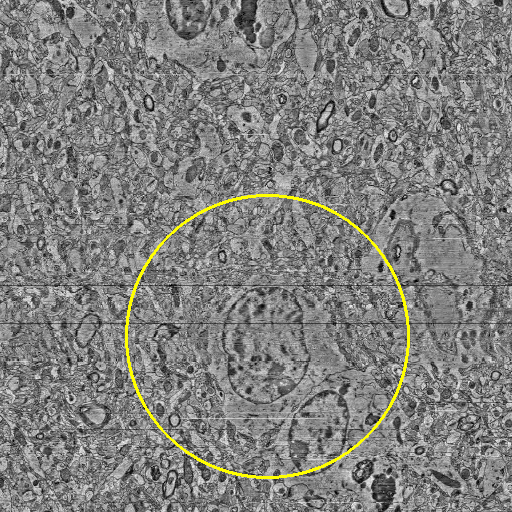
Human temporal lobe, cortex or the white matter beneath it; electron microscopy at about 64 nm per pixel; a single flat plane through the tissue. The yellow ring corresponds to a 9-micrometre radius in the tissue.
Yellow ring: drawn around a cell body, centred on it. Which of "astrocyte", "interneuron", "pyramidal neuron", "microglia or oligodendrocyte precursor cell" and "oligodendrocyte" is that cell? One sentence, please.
That cell body is from an astrocyte.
